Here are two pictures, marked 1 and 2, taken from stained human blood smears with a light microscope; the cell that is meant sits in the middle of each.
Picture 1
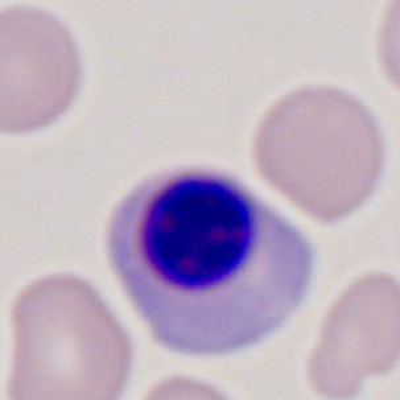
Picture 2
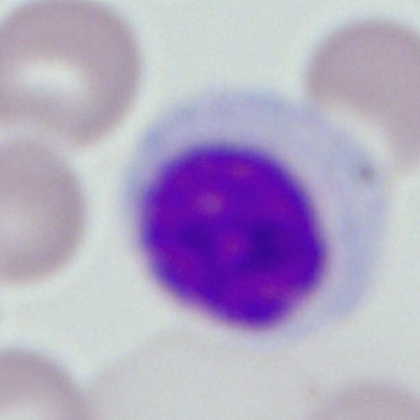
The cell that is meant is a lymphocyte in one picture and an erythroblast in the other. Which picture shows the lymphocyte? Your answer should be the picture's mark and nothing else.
2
